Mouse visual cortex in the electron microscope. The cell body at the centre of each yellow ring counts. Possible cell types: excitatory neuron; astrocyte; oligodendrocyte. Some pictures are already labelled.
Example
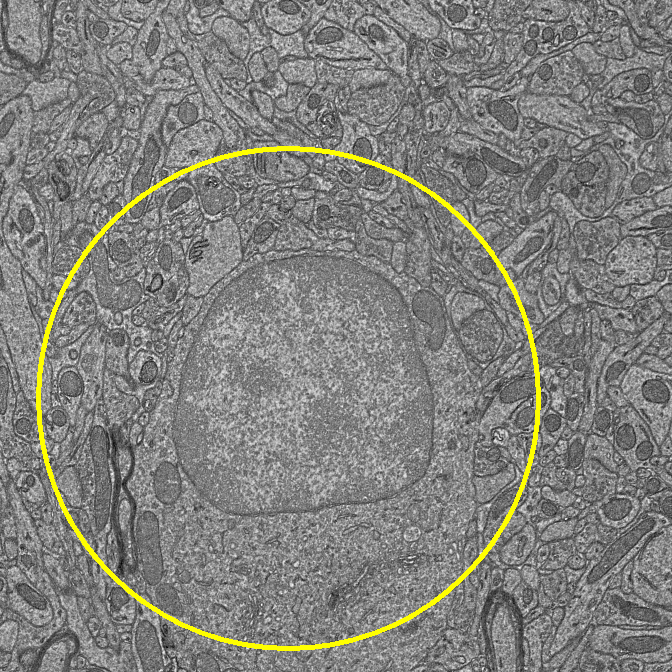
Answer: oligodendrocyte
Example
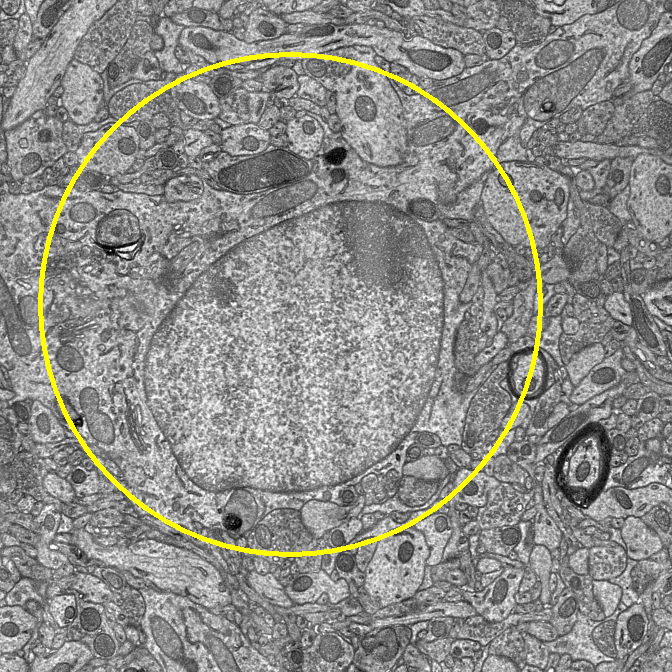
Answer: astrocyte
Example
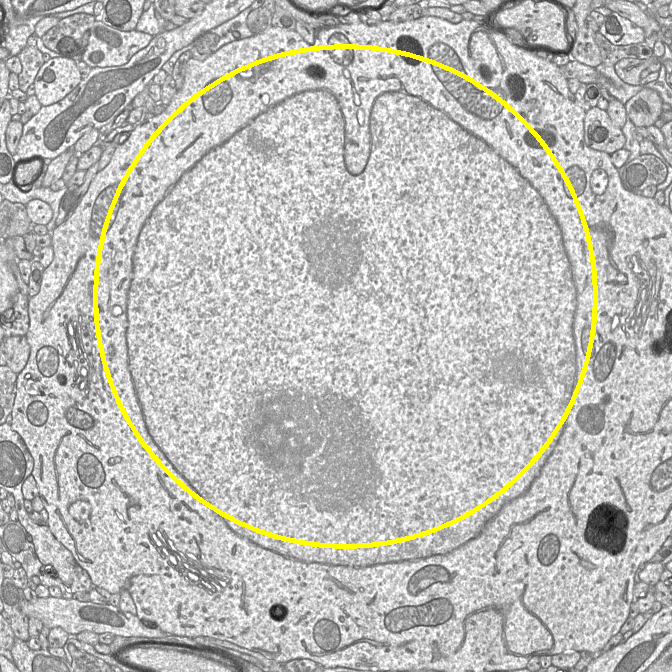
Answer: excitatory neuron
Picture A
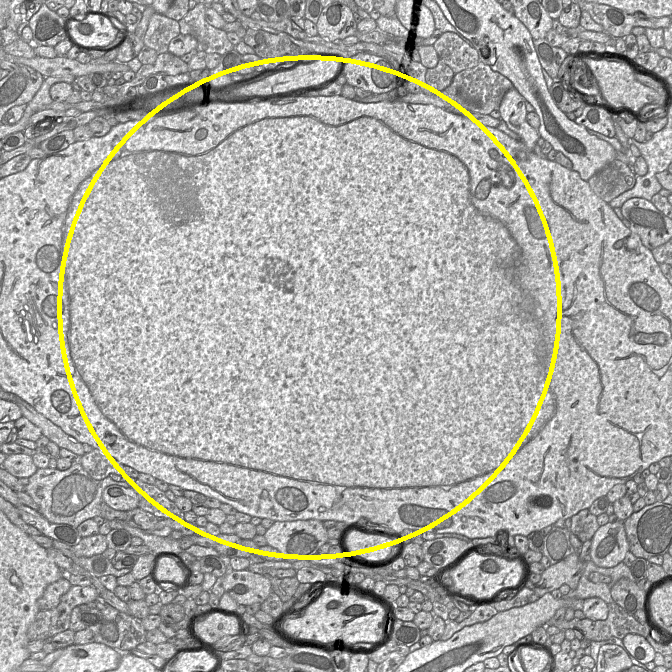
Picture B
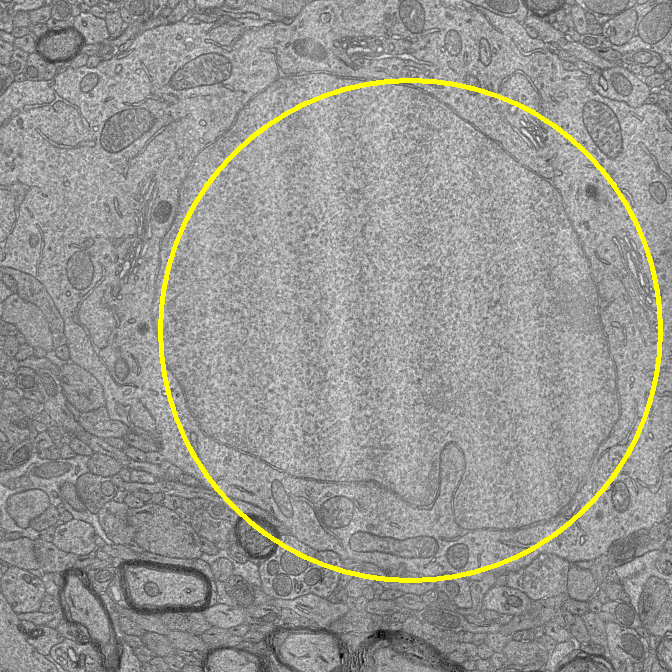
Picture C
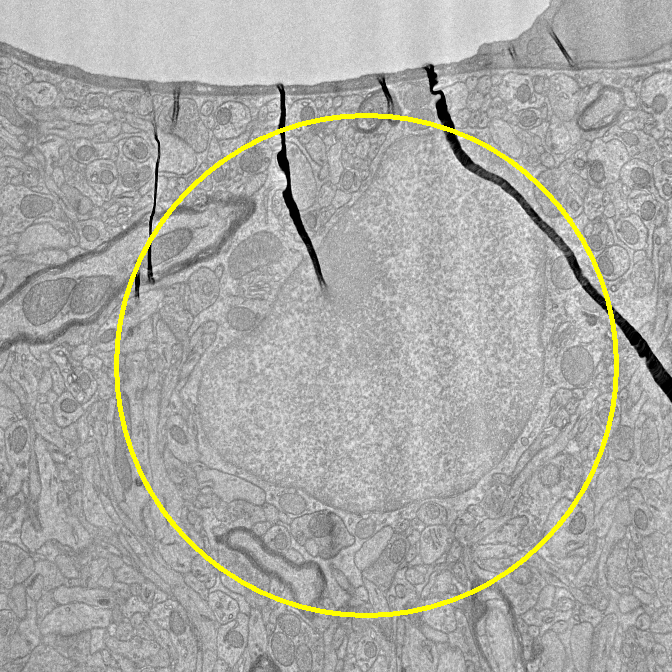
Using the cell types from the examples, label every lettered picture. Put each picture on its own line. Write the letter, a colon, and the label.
A: excitatory neuron
B: excitatory neuron
C: astrocyte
